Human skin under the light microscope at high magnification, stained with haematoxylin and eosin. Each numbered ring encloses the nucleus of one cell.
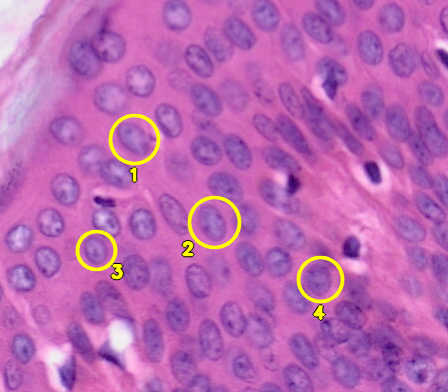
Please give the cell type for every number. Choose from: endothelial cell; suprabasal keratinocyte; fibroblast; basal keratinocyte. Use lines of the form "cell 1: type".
cell 1: suprabasal keratinocyte
cell 2: suprabasal keratinocyte
cell 3: suprabasal keratinocyte
cell 4: basal keratinocyte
